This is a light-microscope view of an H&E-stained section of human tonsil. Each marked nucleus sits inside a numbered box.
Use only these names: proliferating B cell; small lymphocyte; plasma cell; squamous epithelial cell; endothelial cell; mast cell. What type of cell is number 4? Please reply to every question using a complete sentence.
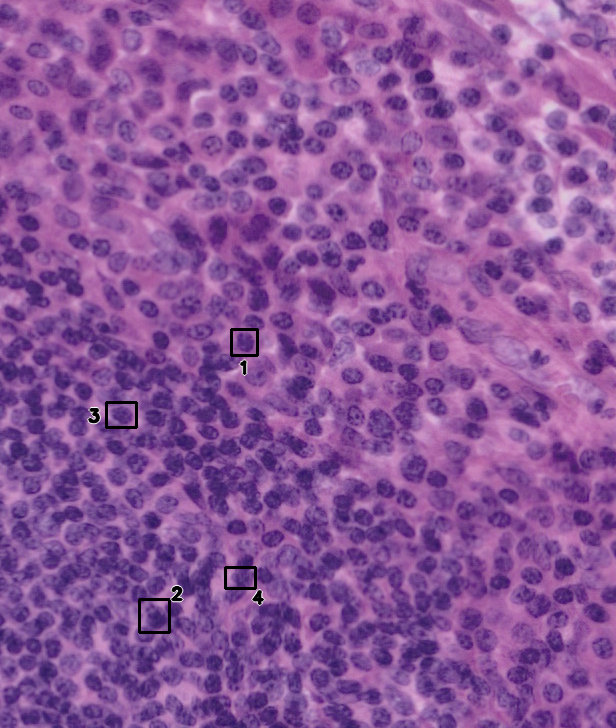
Cell 4 in the field of view is a small lymphocyte.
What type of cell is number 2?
The one numbered 2 among the marked cells is a small lymphocyte.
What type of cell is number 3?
Of the numbered cells, the one labelled 3 is a small lymphocyte.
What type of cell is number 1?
In this section, number 1 marks a plasma cell.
